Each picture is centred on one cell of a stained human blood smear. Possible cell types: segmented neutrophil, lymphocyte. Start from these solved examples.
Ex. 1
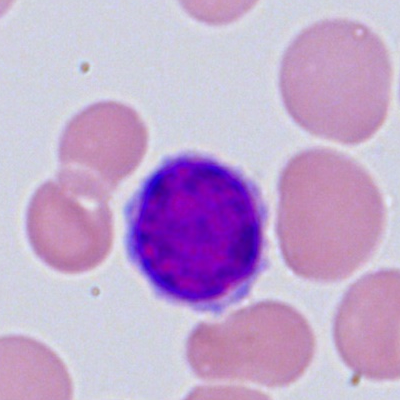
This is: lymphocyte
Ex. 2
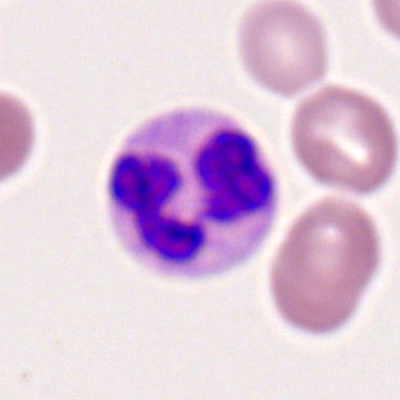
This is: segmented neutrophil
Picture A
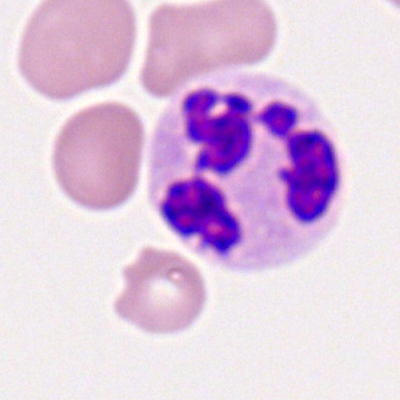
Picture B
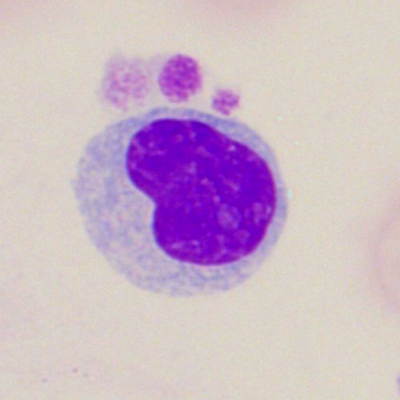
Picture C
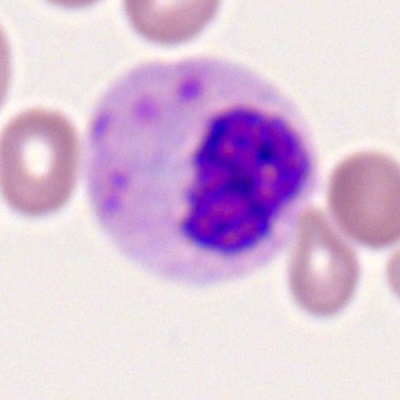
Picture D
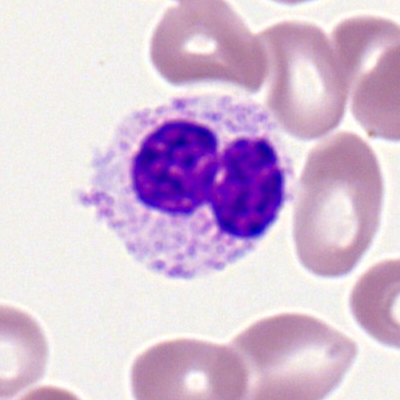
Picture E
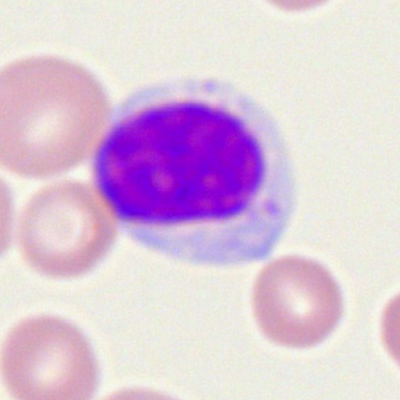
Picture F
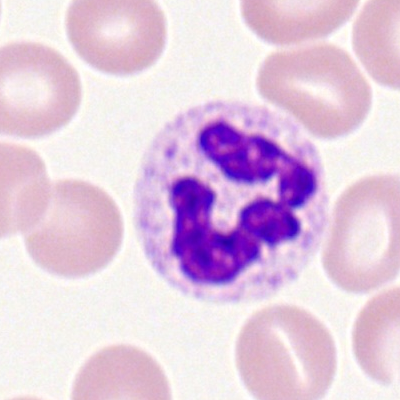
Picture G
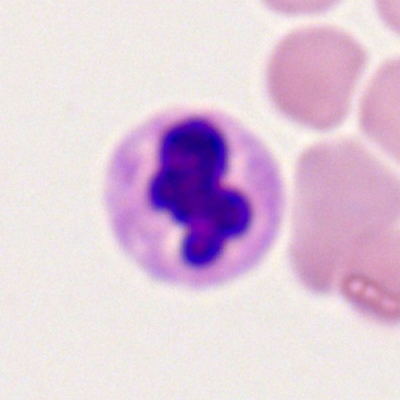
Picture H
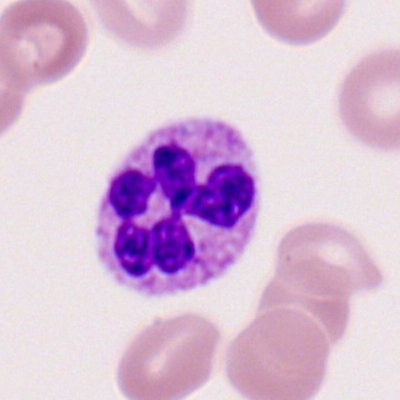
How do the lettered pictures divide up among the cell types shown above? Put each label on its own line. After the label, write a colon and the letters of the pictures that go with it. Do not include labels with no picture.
segmented neutrophil: A, C, D, F, G, H
lymphocyte: B, E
